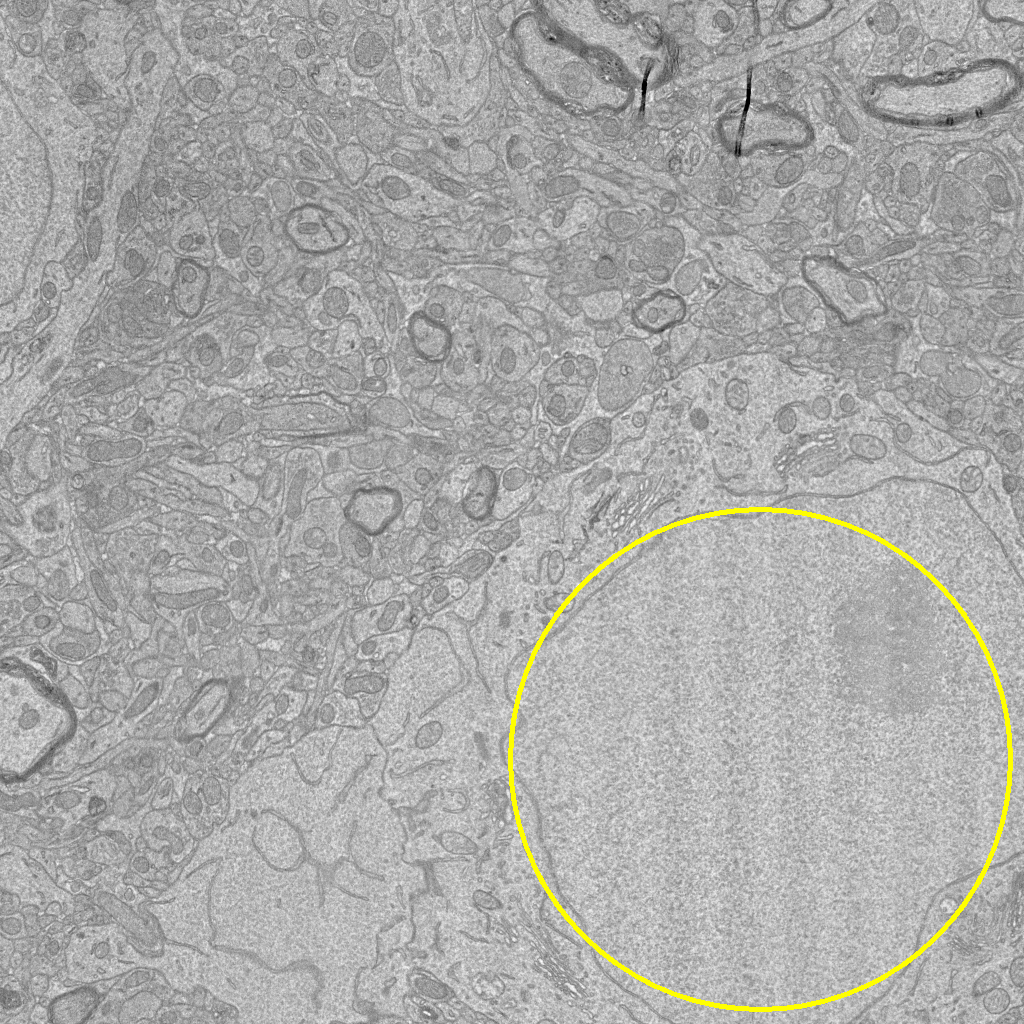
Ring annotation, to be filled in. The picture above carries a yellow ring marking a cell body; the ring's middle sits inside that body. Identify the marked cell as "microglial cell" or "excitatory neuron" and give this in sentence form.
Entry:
The cell at the middle of the ring is an excitatory neuron.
